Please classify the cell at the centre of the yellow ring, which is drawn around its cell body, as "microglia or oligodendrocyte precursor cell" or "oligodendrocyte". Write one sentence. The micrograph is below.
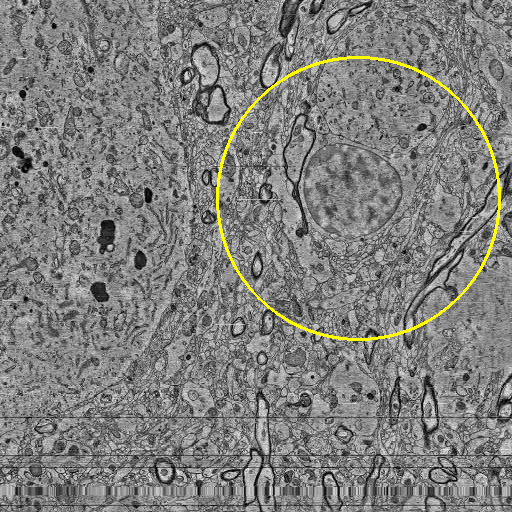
The cell at the ring's centre is classified as an oligodendrocyte.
